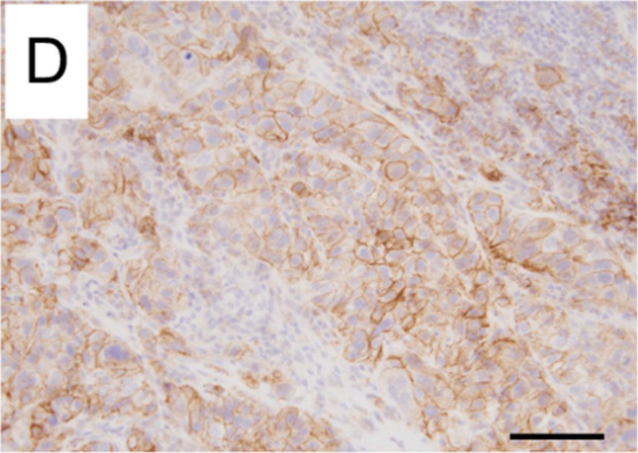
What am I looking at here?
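Large tumor cells in sheets are outlined by a brown stain along their cell membranes, giving a net-like pattern across most of the field. The tumour cell nuclei are large, oval and pale blue, with moderate cytoplasm inside the brown outlines. Narrow bands of stroma with small spindle-shaped blue nuclei run between the groups of tumour cells and lack the brown outline. Small round blue nuclei crowd the upper right corner.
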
